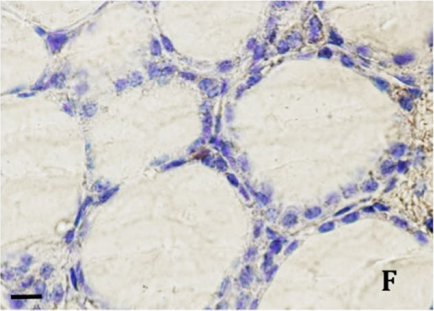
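Large, rounded follicles fill the field, each packed with pale, smooth colloid that shows fine parallel streaks from sectioning. A single layer of thin, flattened cells with oval blue nuclei lines each follicle, and these are thyroid follicular cells. Between the follicles run narrow strips of tissue where nuclei crowd together at the corners where several follicles meet. Brown stain is almost absent, with only faint traces in a few spots. The overall picture is of resting follicles with a low, even epithelium.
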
